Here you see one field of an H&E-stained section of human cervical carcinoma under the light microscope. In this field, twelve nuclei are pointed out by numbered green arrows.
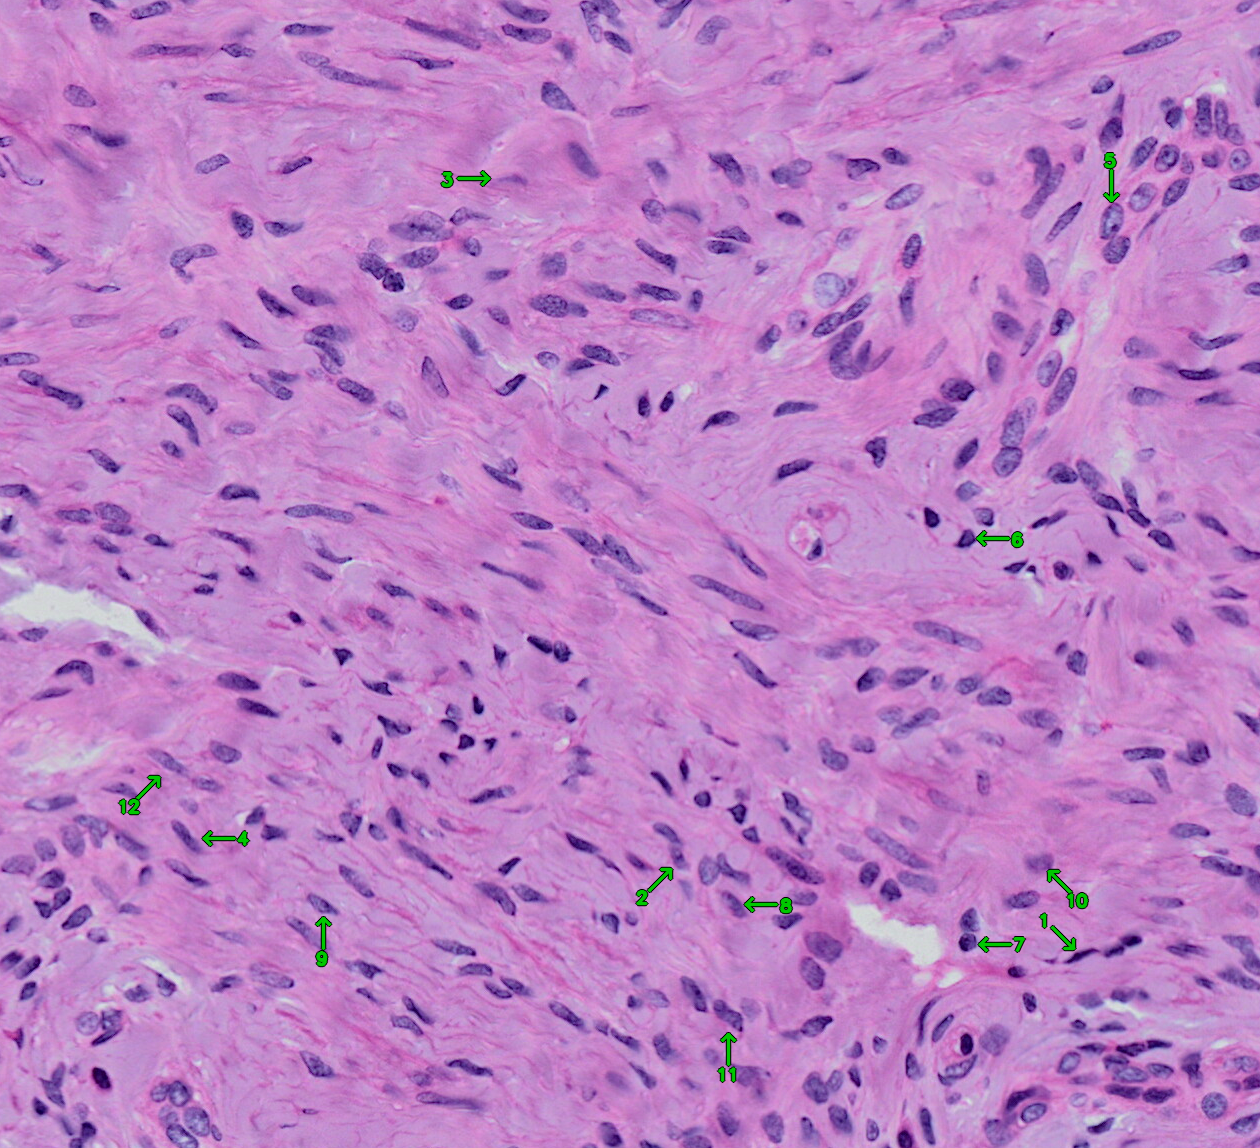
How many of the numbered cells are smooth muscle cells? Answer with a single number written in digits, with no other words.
3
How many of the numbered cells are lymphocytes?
1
